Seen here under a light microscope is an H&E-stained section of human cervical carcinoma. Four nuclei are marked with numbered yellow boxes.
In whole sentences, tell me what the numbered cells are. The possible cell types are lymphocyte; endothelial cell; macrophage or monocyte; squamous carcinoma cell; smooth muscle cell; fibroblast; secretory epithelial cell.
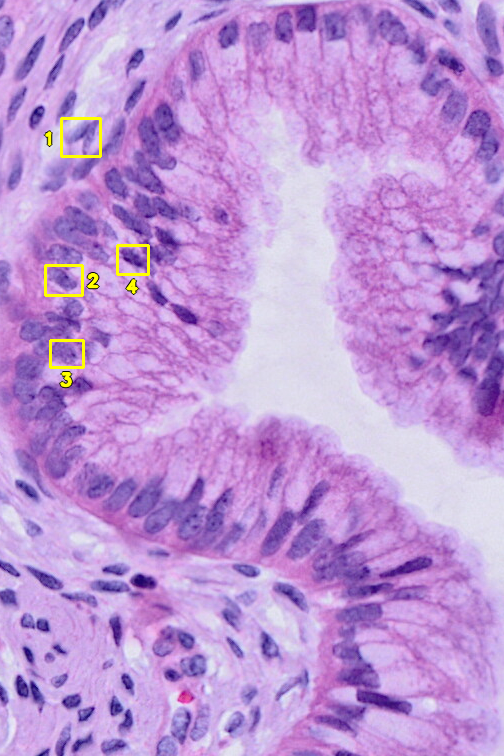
Cell 1 is a fibroblast, cell 2 is a secretory epithelial cell, cell 3 is a secretory epithelial cell and cell 4 is a secretory epithelial cell.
